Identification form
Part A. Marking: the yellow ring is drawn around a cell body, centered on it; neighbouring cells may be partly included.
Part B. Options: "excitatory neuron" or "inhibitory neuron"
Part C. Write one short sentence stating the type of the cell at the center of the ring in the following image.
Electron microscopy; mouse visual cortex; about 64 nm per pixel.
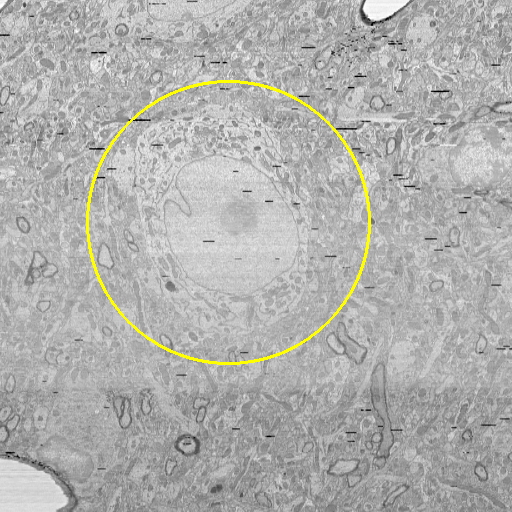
The center of the ring holds an inhibitory neuron.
